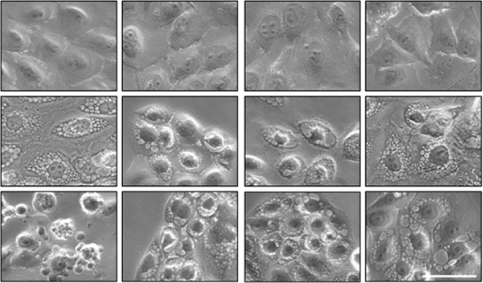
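In the top row, the cells lie flat and spread on the dish, polygonal in outline, each with an oval nucleus and one or more dark nucleoli in a fairly clear cytoplasm. In the lower rows, the cytoplasm of many cells becomes crowded with round, clear vacuoles of varying size, which puff the cells up and crowd around the nucleus. In the bottom-left field, many cells have instead become small, rounded and bright-rimmed, as though shrinking and lifting off the dish, while the neighbouring fields still show mostly attached, vacuole-filled cells.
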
